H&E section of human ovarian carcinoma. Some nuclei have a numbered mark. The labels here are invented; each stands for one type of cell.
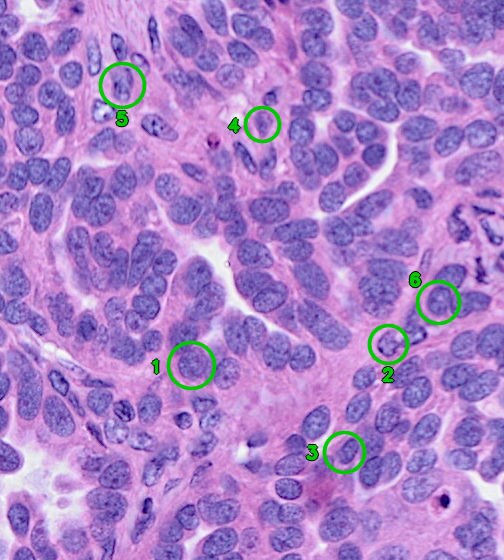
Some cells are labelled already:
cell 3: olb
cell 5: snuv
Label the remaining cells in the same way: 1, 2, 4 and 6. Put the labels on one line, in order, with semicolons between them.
olb; snuv; snuv; olb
